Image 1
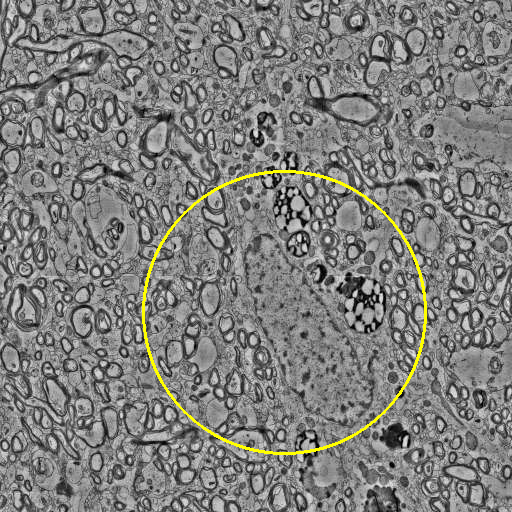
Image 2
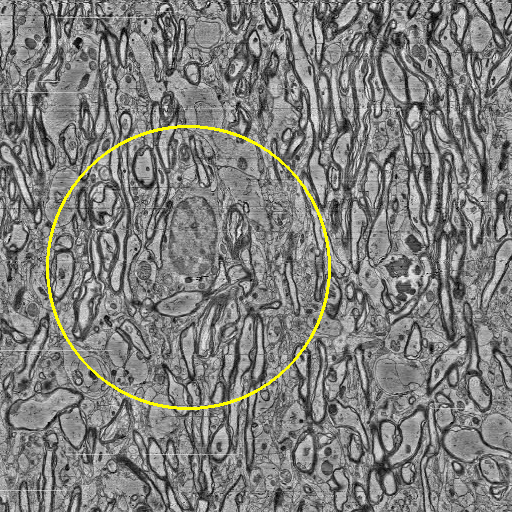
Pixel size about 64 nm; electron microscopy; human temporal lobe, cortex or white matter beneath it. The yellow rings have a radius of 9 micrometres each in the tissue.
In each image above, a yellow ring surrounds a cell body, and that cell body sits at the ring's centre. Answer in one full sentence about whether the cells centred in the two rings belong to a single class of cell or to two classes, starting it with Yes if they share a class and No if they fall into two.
No, the cells centred in the two yellow rings belong to two classes of cell.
